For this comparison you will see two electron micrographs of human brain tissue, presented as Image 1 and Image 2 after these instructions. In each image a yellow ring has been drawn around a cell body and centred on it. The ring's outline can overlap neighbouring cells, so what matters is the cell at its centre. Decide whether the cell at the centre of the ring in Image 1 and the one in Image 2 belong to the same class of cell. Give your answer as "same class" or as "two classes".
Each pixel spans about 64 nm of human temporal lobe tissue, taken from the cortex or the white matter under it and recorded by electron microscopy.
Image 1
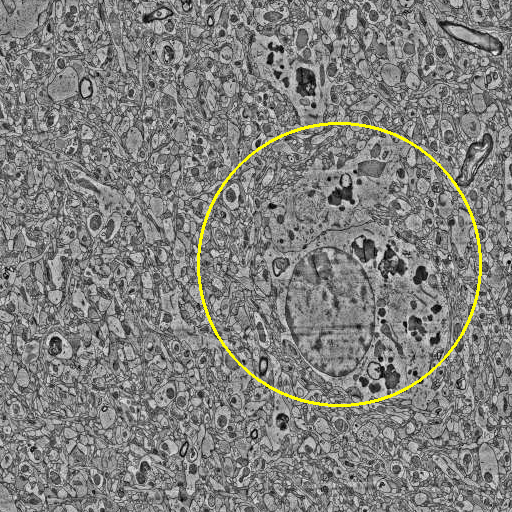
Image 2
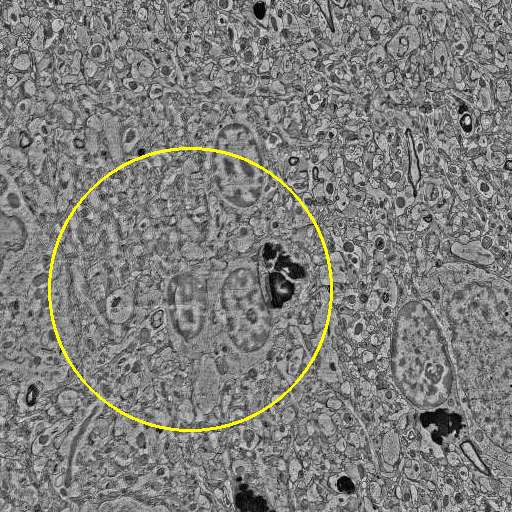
two classes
